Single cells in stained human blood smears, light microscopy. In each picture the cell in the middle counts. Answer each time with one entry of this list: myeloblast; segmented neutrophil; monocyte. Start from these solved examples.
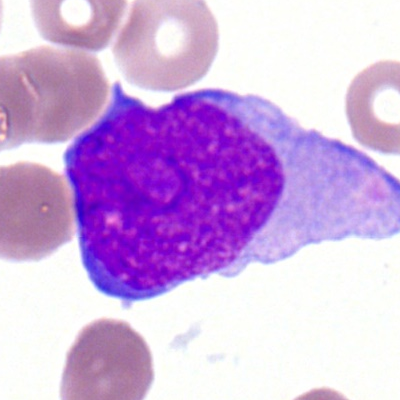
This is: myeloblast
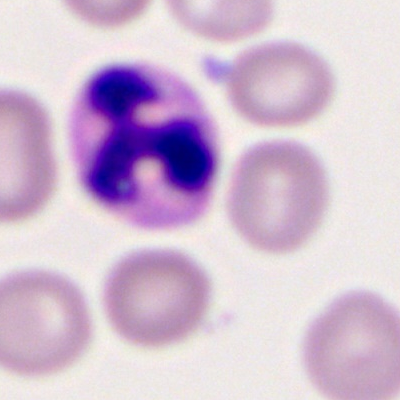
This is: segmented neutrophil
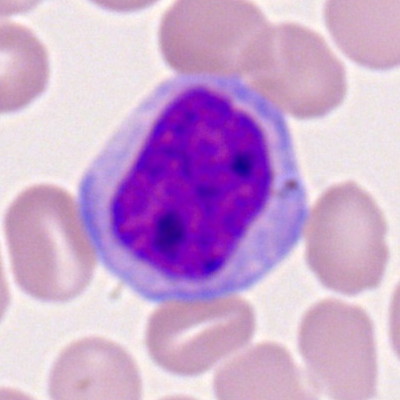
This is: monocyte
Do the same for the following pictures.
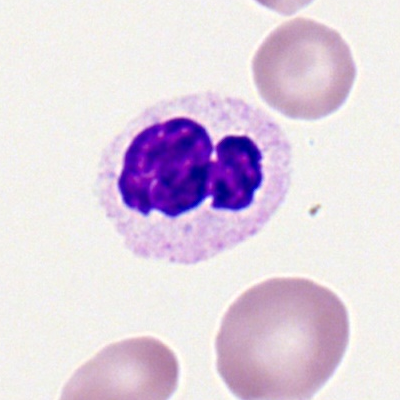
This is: segmented neutrophil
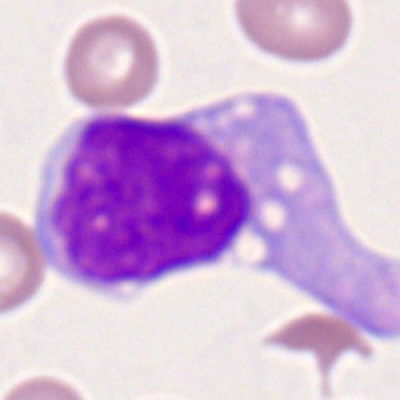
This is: monocyte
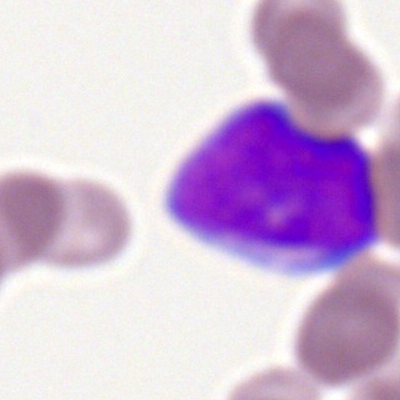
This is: myeloblast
